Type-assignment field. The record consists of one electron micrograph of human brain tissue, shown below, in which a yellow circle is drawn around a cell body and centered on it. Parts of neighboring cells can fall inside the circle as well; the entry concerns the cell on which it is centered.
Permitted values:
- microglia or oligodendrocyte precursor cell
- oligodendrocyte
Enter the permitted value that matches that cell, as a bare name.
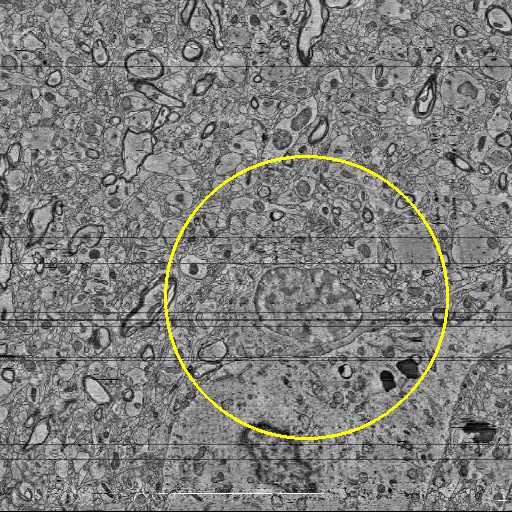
oligodendrocyte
